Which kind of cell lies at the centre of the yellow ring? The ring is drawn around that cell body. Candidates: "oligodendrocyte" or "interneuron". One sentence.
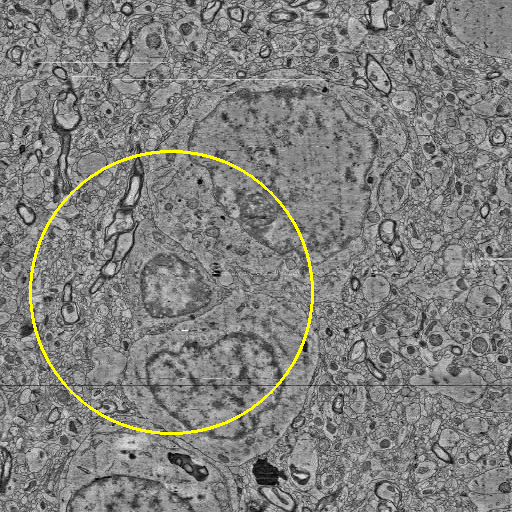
Lying at the centre of the ring is an oligodendrocyte.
